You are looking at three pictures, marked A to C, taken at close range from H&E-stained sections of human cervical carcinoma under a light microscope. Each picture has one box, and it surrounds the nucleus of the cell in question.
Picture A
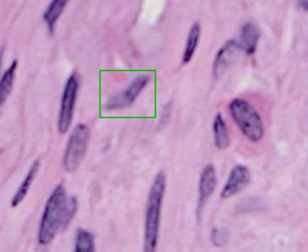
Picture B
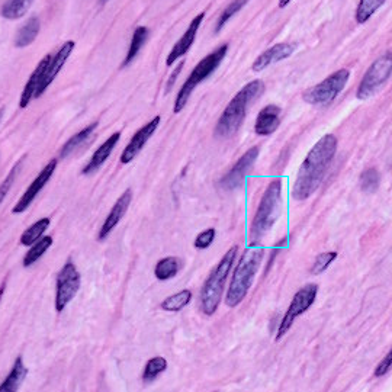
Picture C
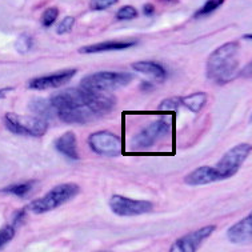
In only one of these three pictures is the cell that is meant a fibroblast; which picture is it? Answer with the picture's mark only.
A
